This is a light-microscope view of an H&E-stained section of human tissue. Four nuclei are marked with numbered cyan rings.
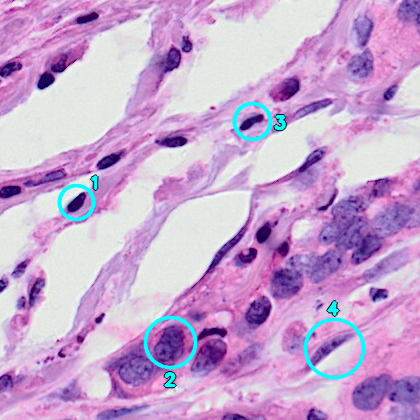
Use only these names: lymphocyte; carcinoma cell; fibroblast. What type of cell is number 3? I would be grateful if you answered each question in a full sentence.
Here, the cell given the number 3 is a lymphocyte.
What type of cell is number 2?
The cell marked with number 2 is a carcinoma cell.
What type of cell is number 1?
The cell marked with number 1 is a lymphocyte.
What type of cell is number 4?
Recognised here as a fibroblast is the cell numbered 4.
